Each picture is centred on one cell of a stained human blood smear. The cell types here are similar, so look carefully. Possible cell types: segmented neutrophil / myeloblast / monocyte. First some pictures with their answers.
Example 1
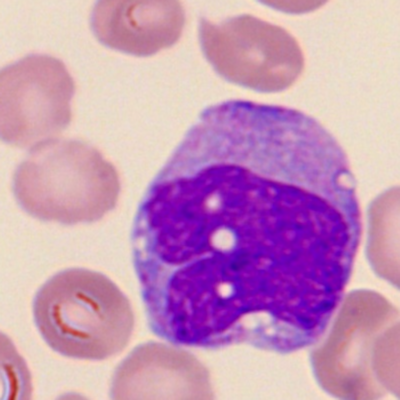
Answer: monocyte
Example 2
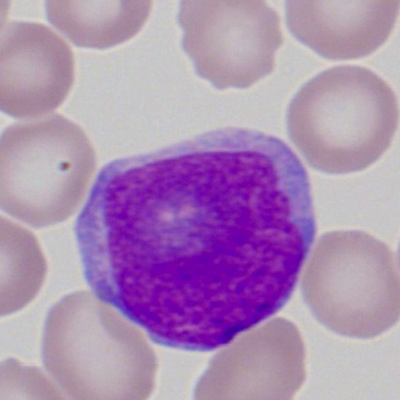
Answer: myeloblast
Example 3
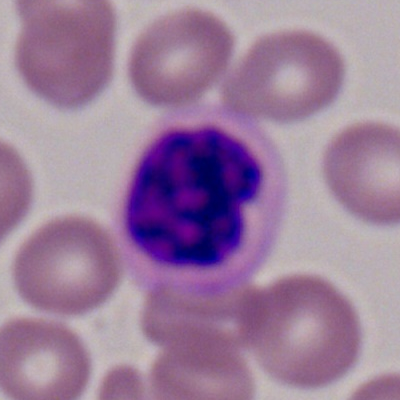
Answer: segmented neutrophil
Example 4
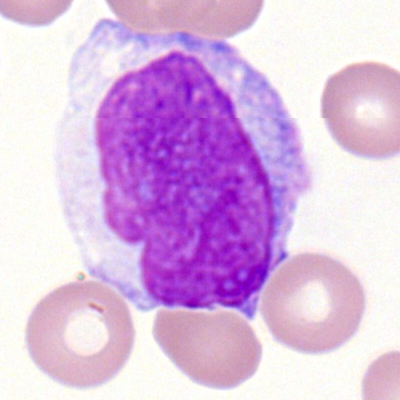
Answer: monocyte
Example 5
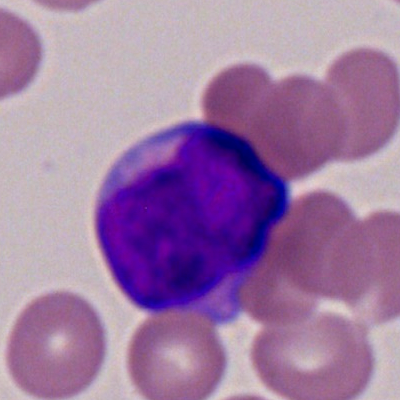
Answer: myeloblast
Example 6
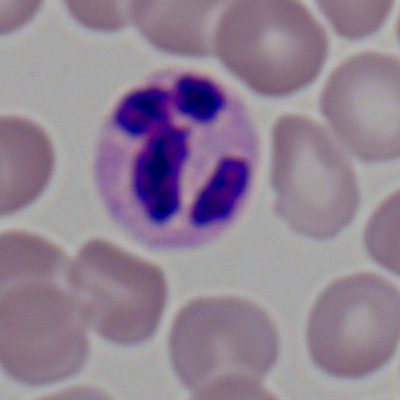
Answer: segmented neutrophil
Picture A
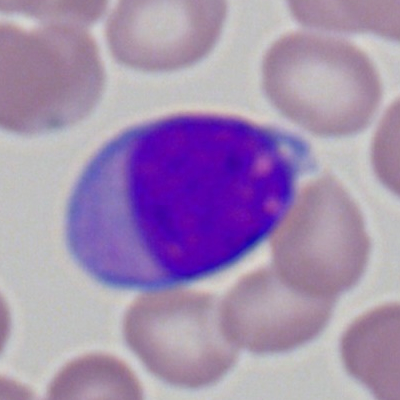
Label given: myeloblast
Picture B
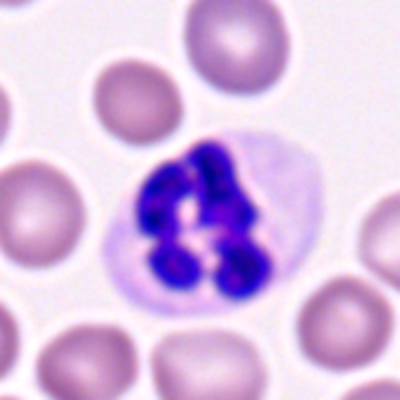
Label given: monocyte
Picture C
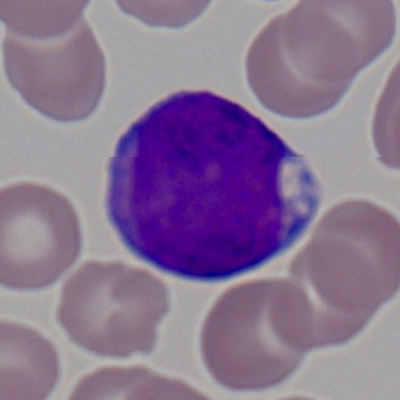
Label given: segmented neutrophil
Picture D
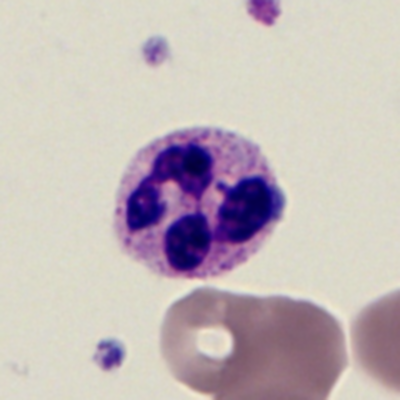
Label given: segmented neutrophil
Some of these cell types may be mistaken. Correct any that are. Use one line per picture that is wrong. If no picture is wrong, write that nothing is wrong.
Wrong: B (monocyte); correct: segmented neutrophil
Wrong: C (segmented neutrophil); correct: myeloblast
